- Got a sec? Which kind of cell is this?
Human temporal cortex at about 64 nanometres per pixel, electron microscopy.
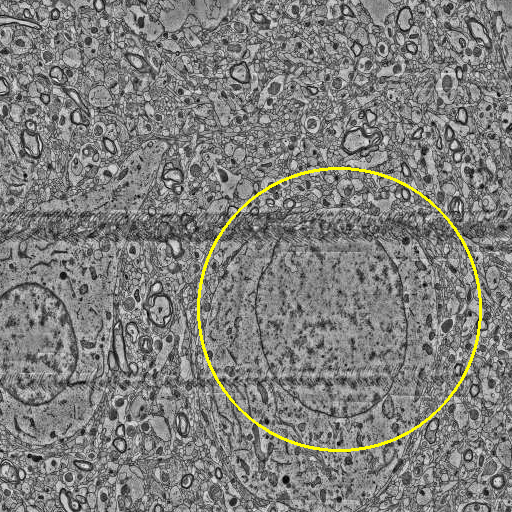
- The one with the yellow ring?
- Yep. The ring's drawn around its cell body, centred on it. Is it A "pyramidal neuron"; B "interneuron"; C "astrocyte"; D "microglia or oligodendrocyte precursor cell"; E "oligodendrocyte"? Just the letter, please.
A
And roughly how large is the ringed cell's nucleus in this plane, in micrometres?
The nucleus comes to roughly 11 micrometres across in this plane.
